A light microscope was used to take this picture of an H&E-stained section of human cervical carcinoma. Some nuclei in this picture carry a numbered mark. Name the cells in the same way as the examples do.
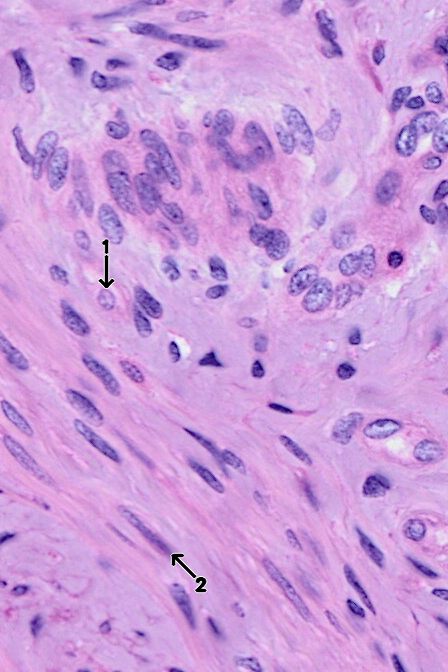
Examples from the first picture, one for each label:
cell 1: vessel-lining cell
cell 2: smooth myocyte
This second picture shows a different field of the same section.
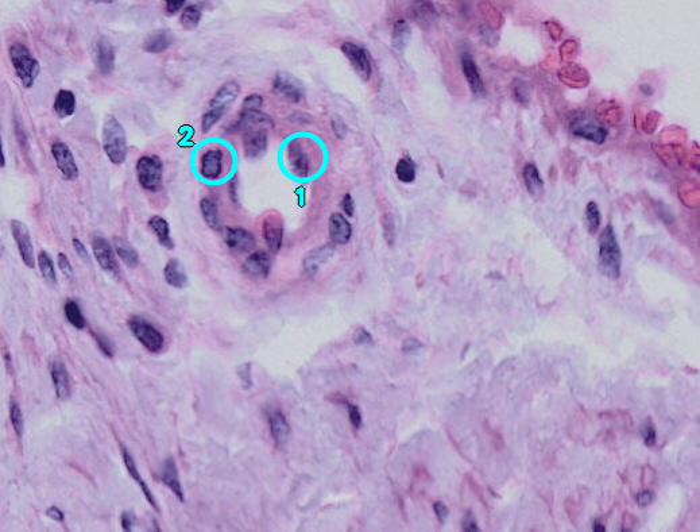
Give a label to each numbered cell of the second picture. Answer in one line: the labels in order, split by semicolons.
vessel-lining cell; smooth myocyte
